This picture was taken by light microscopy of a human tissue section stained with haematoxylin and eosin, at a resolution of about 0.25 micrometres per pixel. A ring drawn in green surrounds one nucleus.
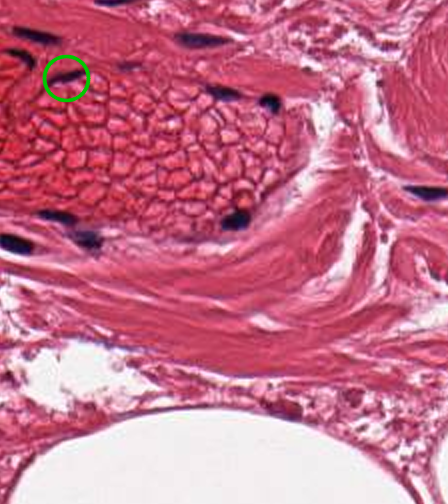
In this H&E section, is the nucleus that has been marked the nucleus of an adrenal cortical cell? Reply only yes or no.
no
